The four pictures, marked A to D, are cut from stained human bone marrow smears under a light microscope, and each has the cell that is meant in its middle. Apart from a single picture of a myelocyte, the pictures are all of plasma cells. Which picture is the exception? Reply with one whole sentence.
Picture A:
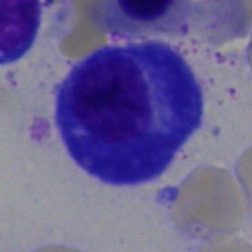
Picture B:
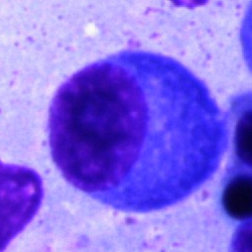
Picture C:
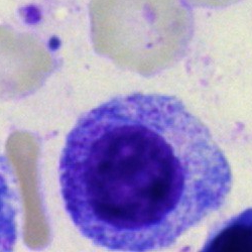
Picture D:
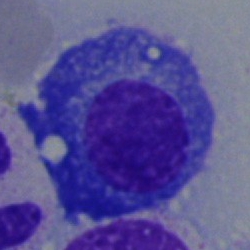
Picture C is the one that shows the myelocyte.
